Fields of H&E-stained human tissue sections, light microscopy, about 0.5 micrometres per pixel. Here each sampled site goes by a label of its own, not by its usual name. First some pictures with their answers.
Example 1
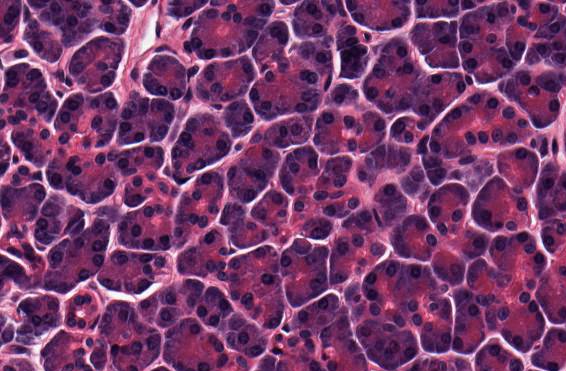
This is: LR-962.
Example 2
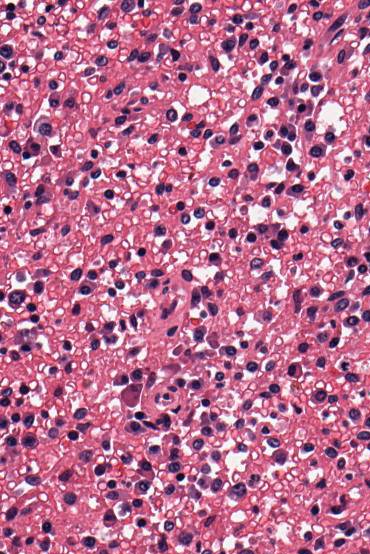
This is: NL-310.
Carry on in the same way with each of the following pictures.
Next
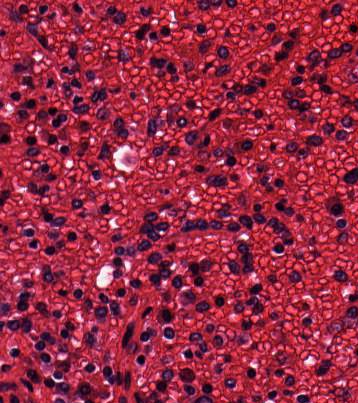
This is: NL-310.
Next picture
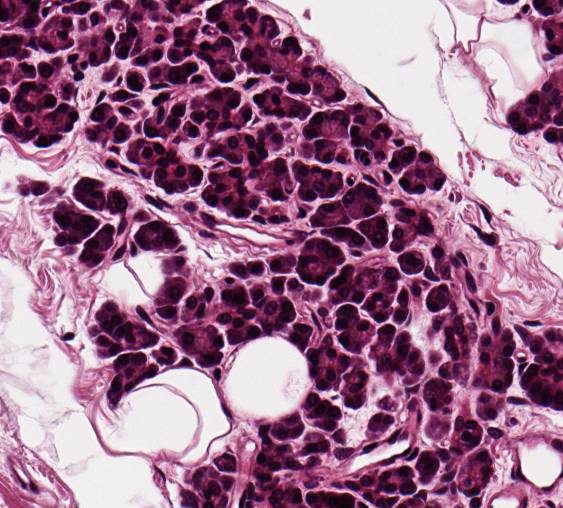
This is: LR-962.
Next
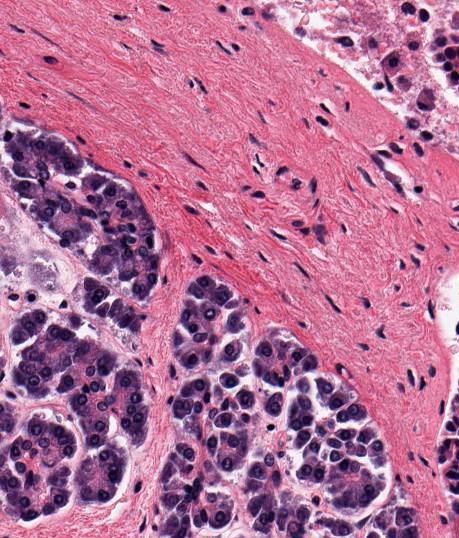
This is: LR-962.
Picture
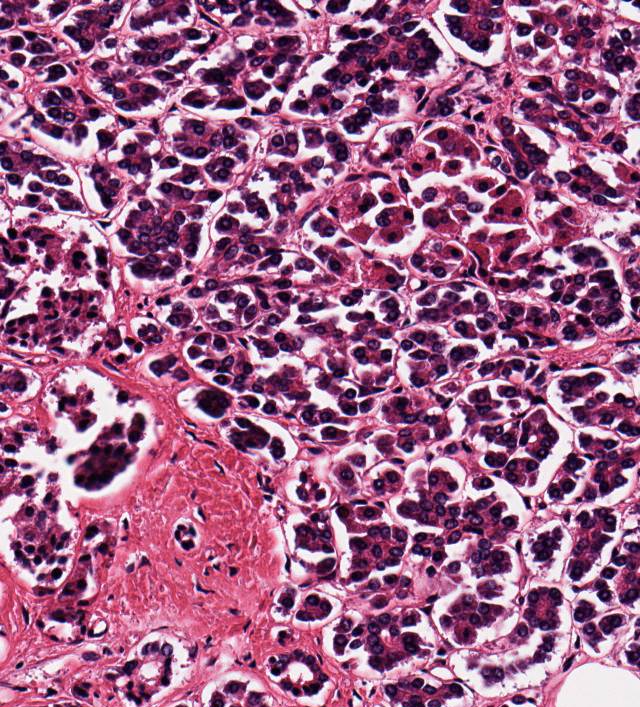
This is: LR-962.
